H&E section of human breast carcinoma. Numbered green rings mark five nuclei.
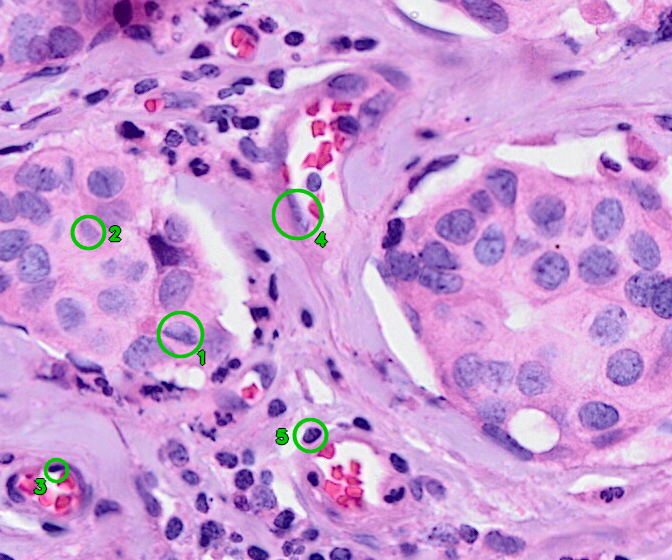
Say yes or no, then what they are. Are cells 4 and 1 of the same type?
No, cell 4 is an endothelial cell, and as for cell 1, it is a carcinoma cell.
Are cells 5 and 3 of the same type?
No, cell 5 is a lymphocyte; cell 3 is an endothelial cell.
